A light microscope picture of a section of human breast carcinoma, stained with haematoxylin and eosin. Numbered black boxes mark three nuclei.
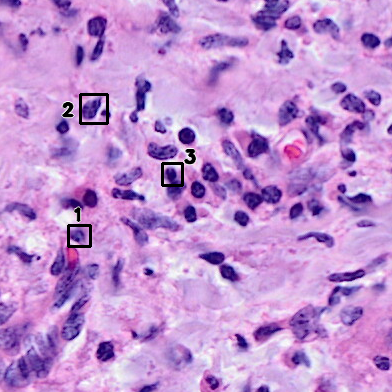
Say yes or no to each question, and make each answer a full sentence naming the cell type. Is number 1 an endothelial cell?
Yes, the cell that bears number 1 is an endothelial cell.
